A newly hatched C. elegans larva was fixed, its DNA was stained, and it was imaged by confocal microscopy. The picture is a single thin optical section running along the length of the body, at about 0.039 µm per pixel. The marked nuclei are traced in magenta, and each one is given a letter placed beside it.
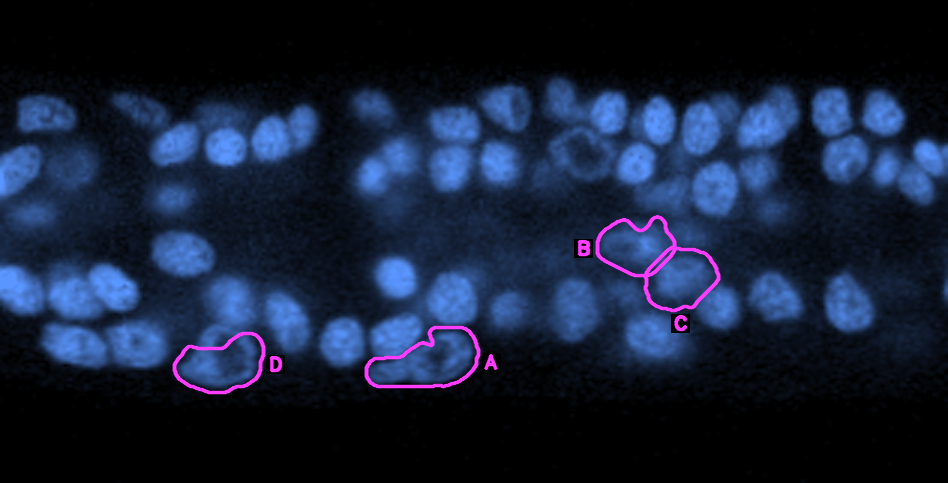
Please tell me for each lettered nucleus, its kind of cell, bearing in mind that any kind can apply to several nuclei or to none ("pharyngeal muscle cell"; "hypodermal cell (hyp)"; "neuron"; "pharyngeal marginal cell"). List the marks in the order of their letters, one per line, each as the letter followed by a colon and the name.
A: hypodermal cell (hyp)
B: pharyngeal marginal cell
C: pharyngeal muscle cell
D: hypodermal cell (hyp)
